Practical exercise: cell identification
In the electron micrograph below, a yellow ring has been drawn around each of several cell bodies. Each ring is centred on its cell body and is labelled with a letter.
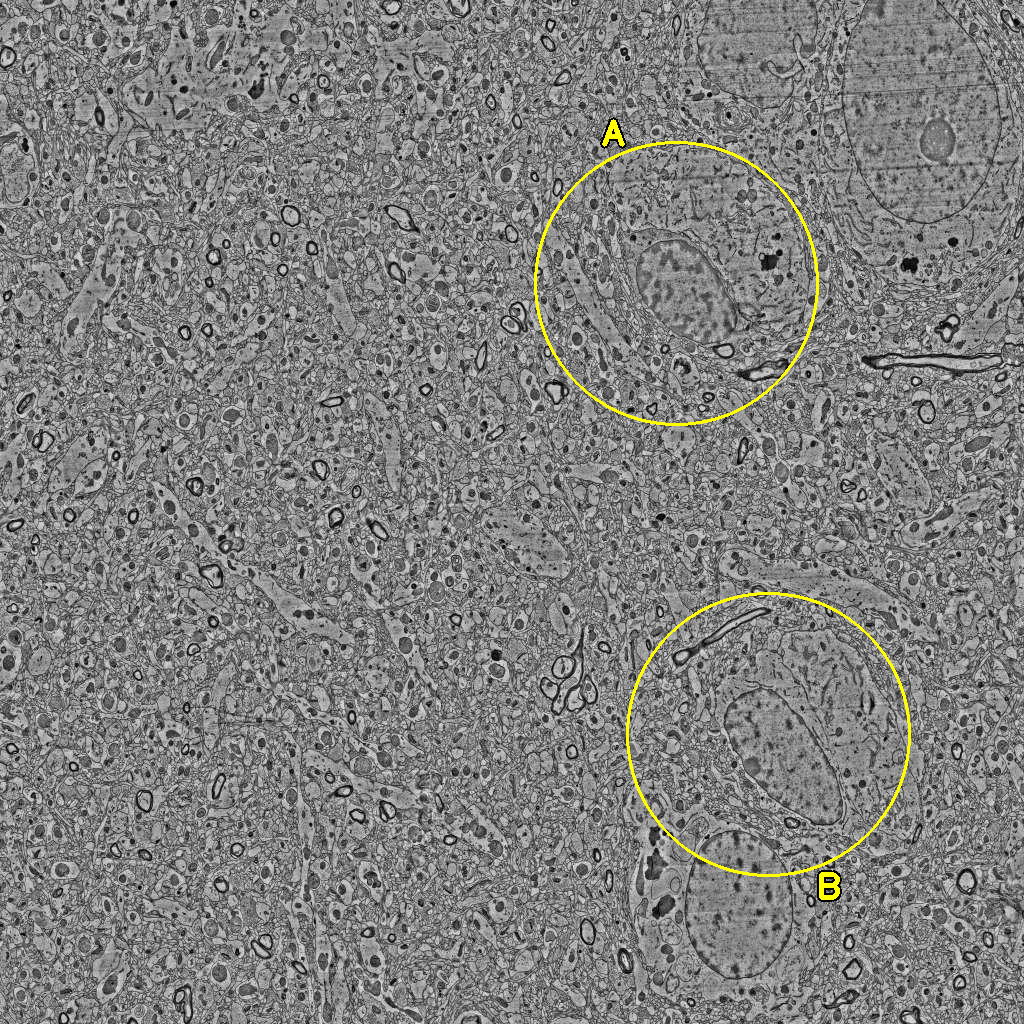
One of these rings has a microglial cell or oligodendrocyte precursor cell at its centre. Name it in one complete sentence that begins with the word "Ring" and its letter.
Ring B has that cell at its centre.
